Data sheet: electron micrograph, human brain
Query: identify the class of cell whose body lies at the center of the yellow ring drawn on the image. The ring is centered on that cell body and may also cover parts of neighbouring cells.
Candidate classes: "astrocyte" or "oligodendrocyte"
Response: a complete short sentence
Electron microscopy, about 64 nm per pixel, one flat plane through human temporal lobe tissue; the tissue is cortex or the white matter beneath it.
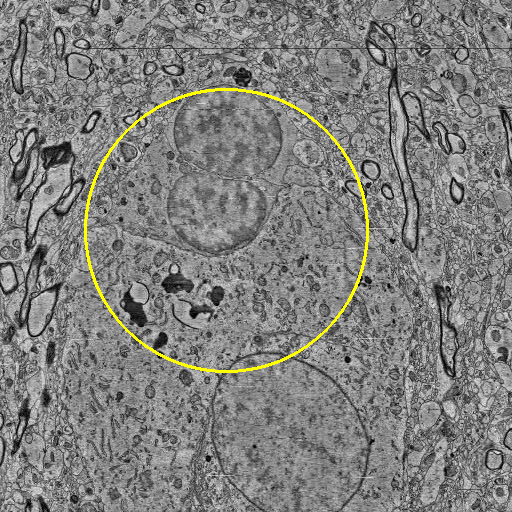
At the center of the ring lies an oligodendrocyte.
